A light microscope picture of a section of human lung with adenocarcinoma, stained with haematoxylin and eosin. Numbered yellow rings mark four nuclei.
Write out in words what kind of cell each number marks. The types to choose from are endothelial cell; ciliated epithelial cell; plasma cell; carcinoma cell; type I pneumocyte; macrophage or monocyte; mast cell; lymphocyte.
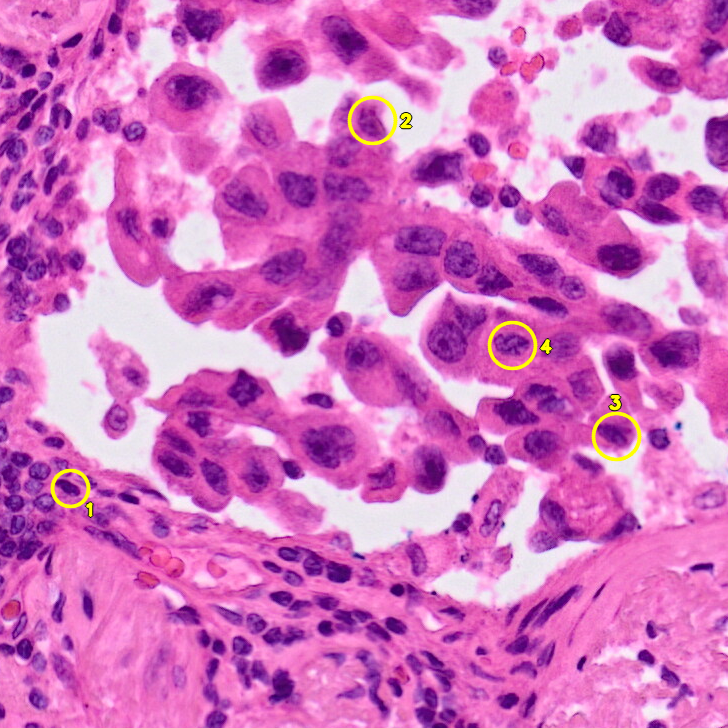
Cell 1 is a lymphocyte. Cells 2, 3 and 4 are carcinoma cells.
